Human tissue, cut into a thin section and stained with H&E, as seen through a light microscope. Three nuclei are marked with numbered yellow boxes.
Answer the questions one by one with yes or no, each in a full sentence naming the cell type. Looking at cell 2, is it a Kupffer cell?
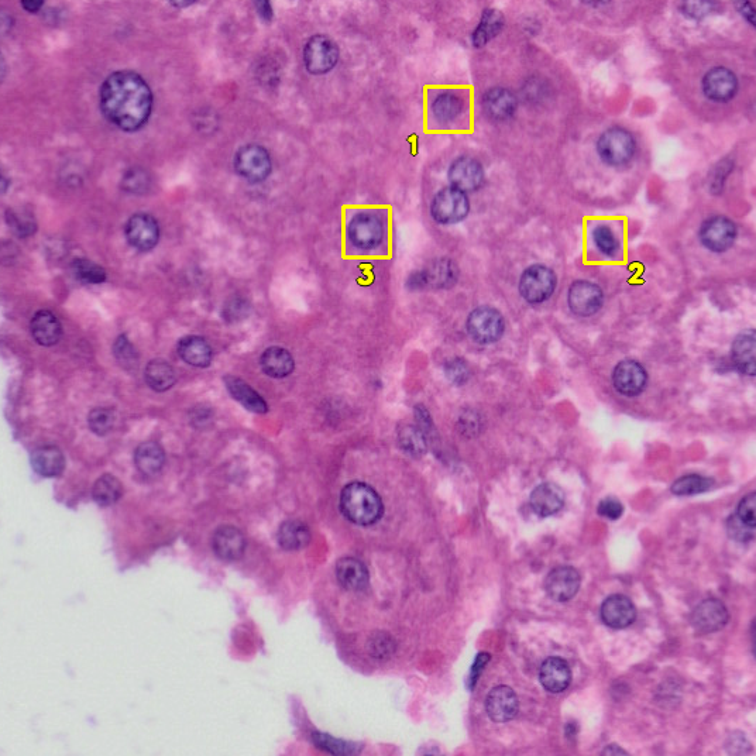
No, cell 2 does not count as a Kupffer cell; it is a lymphocyte.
